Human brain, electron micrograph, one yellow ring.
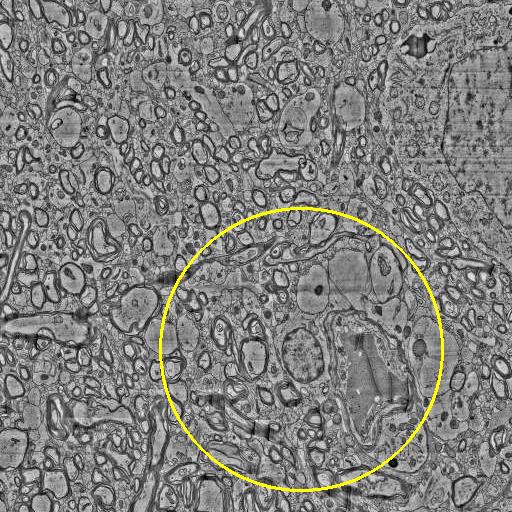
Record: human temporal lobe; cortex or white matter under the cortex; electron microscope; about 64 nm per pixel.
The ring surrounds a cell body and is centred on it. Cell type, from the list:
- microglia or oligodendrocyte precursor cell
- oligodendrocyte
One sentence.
The yellow ring circles a microglial cell or oligodendrocyte precursor cell.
